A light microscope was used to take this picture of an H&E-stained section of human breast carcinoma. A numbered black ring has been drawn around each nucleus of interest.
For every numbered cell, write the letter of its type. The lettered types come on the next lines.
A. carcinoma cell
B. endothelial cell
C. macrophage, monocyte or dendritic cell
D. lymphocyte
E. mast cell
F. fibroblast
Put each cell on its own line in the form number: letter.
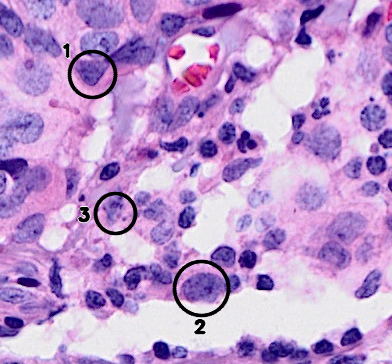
1: A
2: A
3: C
